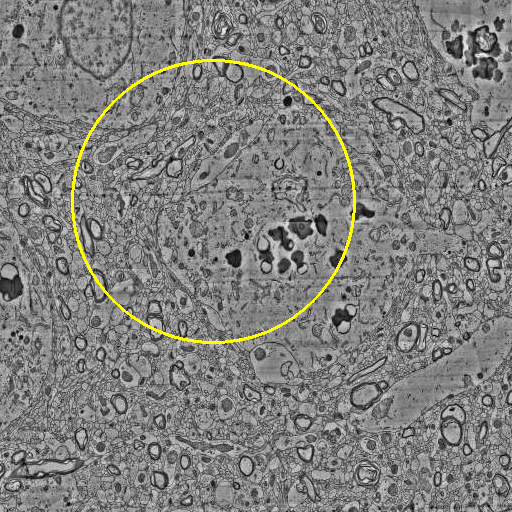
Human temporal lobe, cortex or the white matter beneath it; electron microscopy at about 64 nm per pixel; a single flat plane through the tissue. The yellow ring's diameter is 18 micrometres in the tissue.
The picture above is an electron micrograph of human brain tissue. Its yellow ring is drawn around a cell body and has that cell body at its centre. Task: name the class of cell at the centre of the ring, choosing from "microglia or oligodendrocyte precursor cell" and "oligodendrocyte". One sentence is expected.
The ring surrounds the body of an oligodendrocyte.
